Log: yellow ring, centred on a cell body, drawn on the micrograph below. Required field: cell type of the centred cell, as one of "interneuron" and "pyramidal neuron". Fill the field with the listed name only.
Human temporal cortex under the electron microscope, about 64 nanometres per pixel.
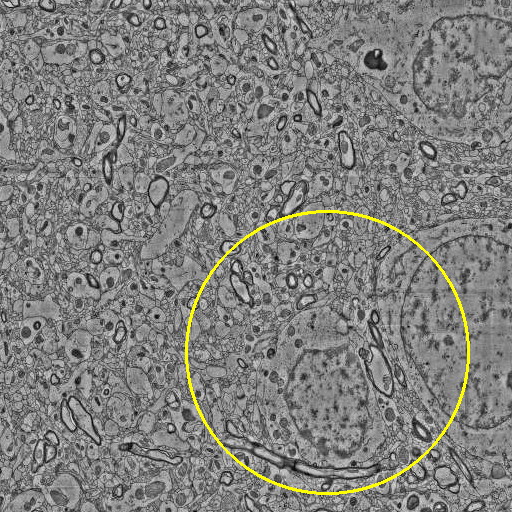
interneuron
